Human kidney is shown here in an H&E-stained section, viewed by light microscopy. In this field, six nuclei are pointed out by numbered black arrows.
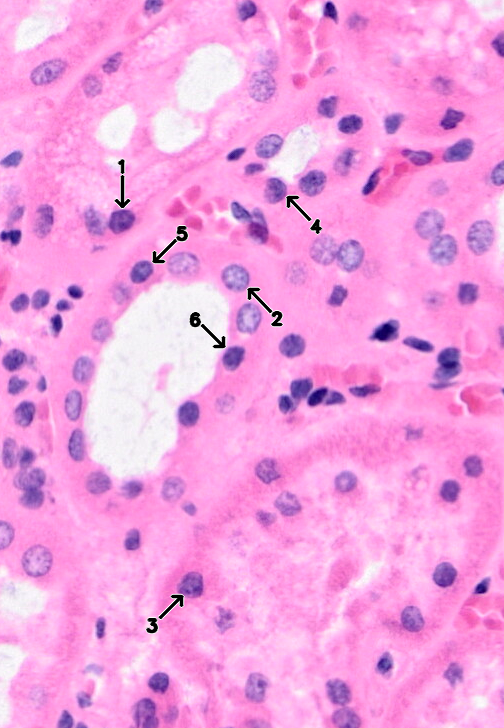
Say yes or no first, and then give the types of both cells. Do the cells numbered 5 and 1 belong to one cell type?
No, cell 5 is a loop of Henle or distal tubule cell and cell 1 is a proximal tubule cell.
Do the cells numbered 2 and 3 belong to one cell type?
No, cell 2 is a loop of Henle or distal tubule cell and cell 3 is a proximal tubule cell.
